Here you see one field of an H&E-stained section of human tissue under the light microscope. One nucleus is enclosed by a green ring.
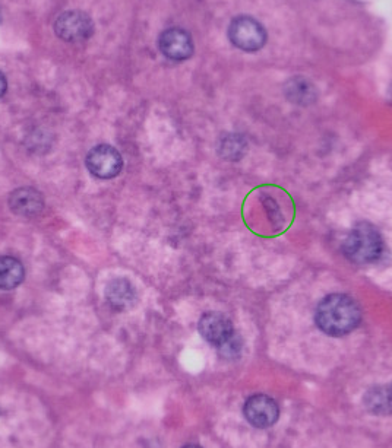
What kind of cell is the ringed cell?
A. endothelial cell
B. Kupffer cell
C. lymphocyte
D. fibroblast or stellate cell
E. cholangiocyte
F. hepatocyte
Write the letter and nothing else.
A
